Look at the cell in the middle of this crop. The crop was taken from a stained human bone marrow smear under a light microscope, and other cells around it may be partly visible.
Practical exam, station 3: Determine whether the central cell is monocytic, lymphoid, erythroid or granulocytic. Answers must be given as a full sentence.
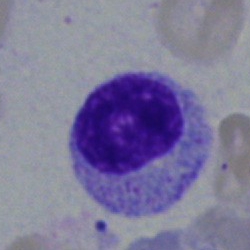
The cell in the middle comes from the granulocytic lineage of blood cells.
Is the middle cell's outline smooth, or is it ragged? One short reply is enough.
A smooth, projection-free outline is what this cell has.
